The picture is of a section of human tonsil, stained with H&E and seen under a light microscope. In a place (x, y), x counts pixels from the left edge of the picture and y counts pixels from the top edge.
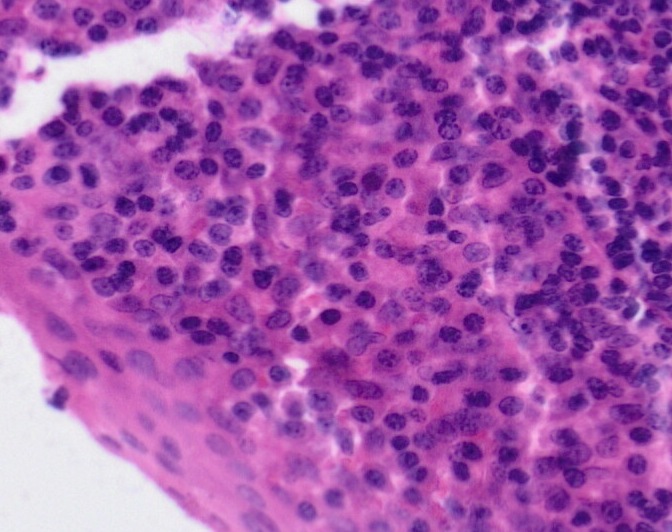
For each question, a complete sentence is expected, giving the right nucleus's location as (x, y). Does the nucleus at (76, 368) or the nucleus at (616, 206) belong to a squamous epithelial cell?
It is the nucleus at (76, 368) that belongs to a squamous epithelial cell.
